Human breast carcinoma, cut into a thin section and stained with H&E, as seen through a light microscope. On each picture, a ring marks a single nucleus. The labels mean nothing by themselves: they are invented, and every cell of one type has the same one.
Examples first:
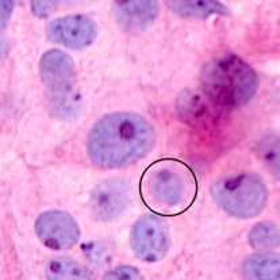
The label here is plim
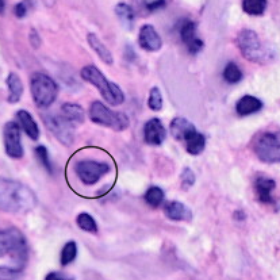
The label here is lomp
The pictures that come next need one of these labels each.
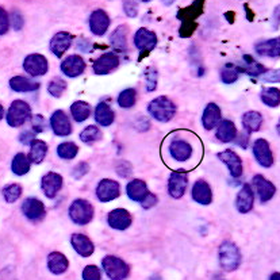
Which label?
lomp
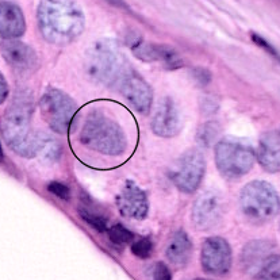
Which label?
plim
